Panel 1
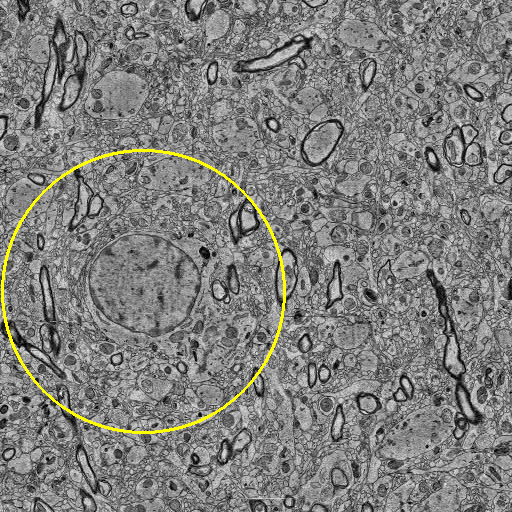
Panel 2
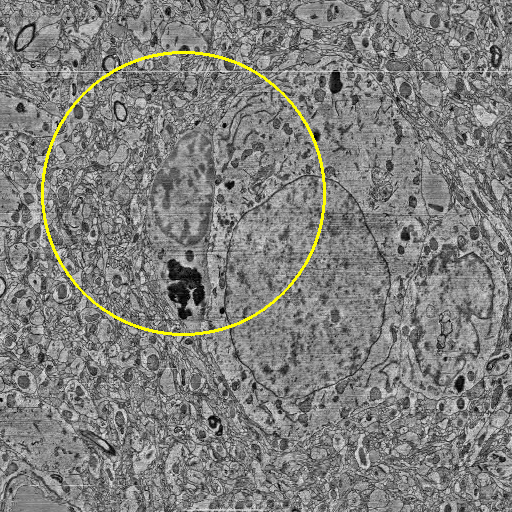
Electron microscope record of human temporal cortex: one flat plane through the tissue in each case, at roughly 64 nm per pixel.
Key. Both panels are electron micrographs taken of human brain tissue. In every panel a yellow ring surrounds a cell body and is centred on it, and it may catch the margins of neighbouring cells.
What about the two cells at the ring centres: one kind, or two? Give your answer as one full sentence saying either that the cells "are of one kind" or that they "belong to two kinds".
Across Panels 1 and 2, the two cells at the ring centres belong to two kinds.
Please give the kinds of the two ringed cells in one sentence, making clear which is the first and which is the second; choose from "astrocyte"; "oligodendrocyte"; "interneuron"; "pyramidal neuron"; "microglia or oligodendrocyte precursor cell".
In the second picture the ringed cell is an oligodendrocyte; in the first it is a microglial cell or oligodendrocyte precursor cell.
